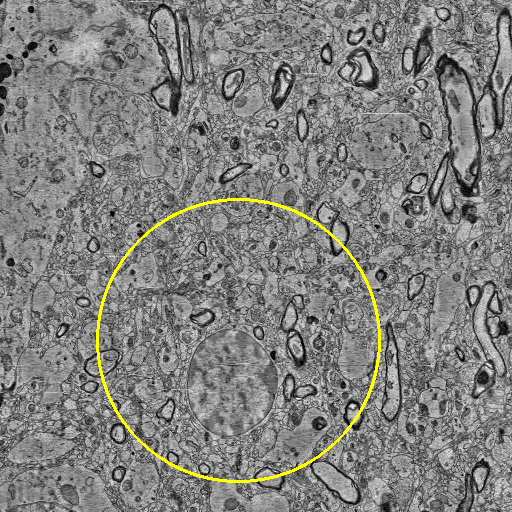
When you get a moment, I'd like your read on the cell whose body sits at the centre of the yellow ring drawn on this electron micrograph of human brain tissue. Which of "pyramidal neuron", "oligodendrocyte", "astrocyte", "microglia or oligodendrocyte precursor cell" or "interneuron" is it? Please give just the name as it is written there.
microglia or oligodendrocyte precursor cell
